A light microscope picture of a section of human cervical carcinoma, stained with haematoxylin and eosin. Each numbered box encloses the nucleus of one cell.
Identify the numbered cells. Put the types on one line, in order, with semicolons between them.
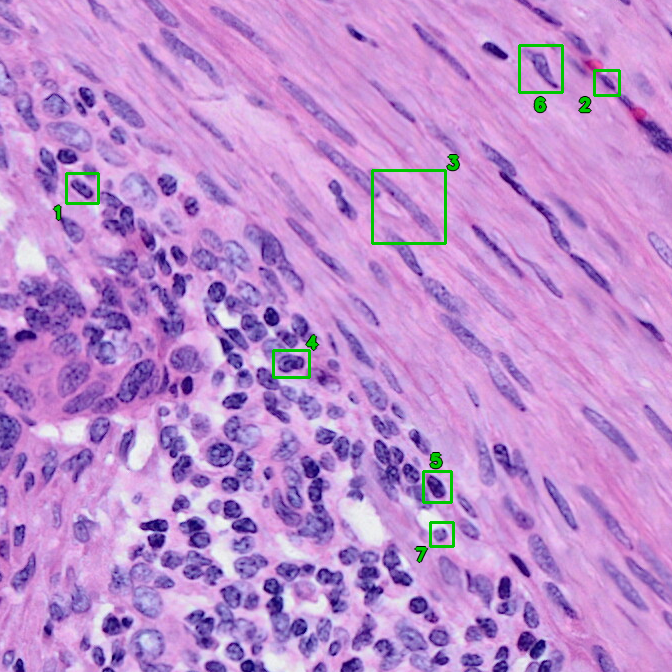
lymphocyte; endothelial cell; smooth muscle cell; lymphocyte; lymphocyte; fibroblast; lymphocyte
